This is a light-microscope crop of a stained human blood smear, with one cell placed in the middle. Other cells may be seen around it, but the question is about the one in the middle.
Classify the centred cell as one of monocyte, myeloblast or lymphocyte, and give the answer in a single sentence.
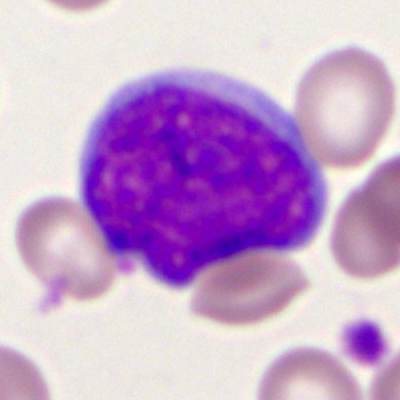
In the crop, the cell of interest at the centre is a myeloblast.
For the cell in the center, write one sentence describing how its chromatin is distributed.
In this cell the chromatin is fine rather than coarsely clumped.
